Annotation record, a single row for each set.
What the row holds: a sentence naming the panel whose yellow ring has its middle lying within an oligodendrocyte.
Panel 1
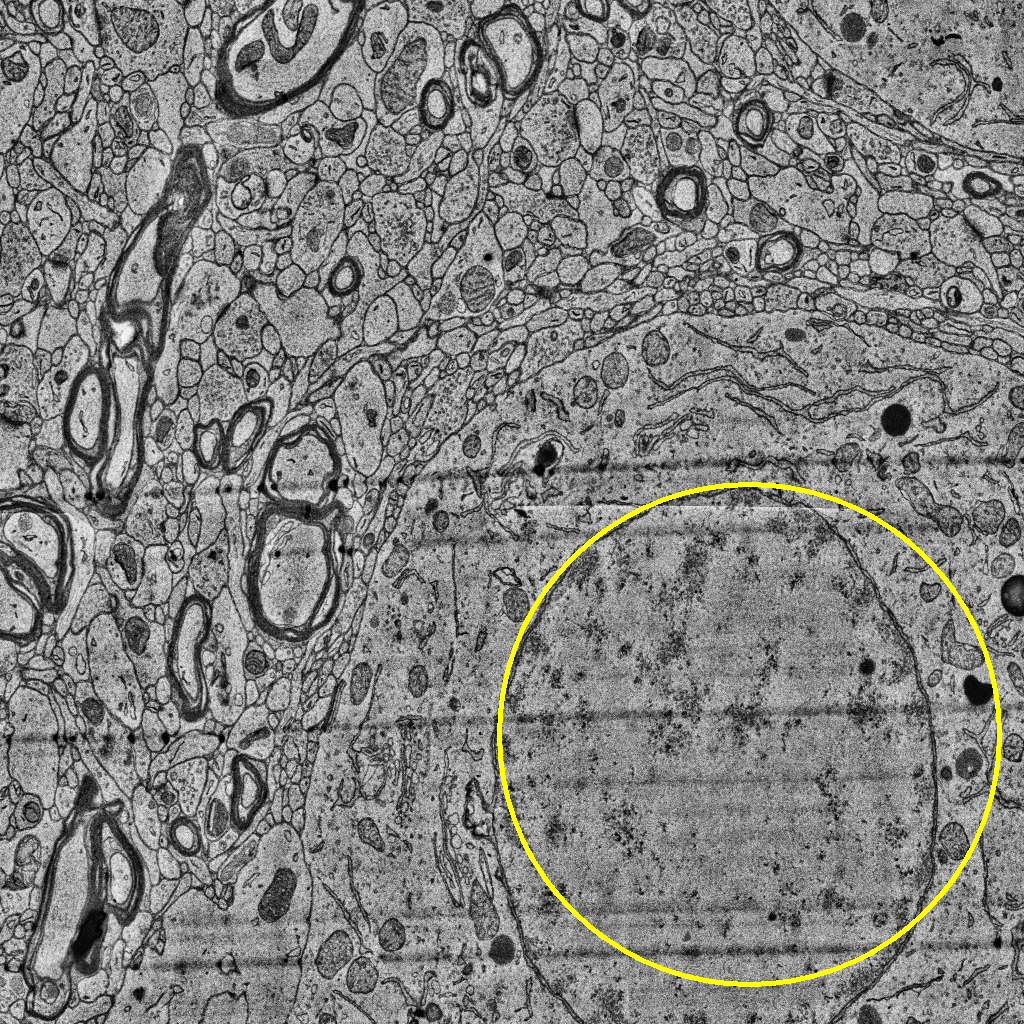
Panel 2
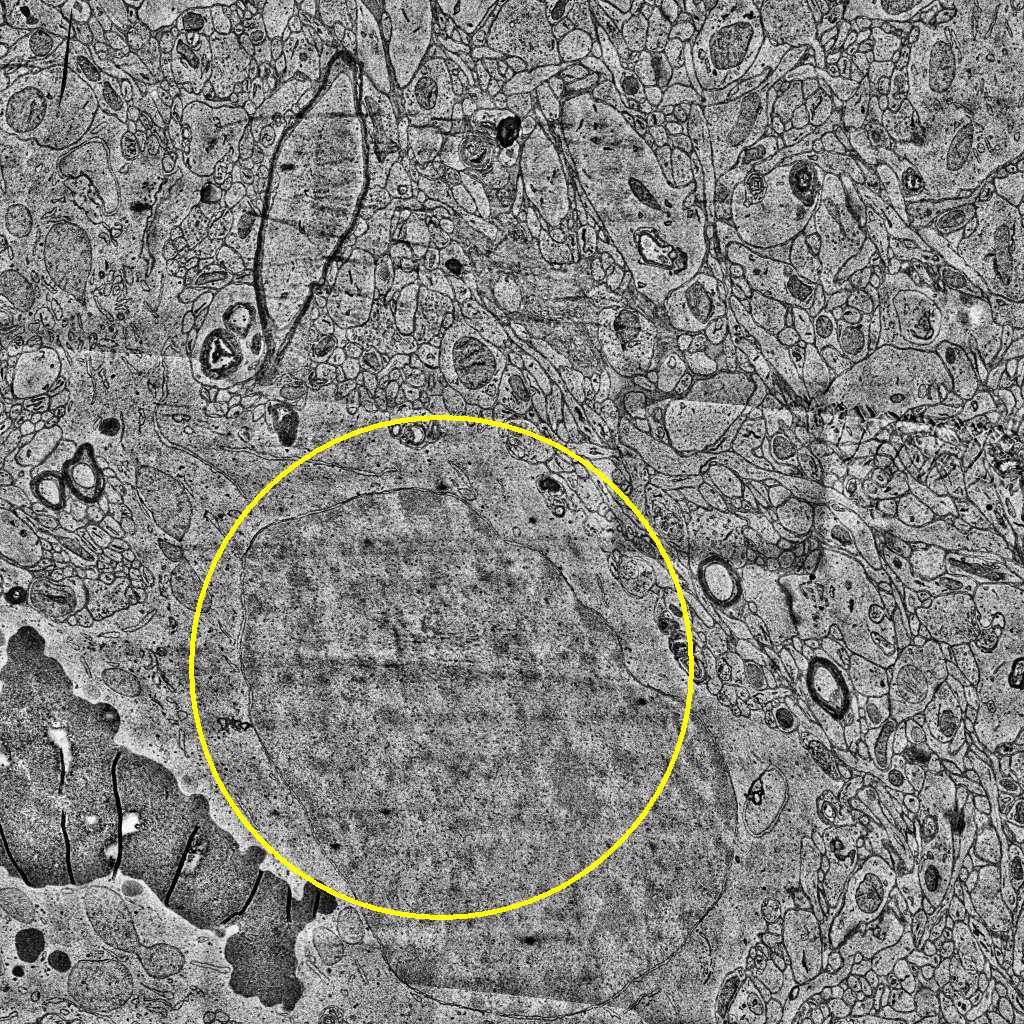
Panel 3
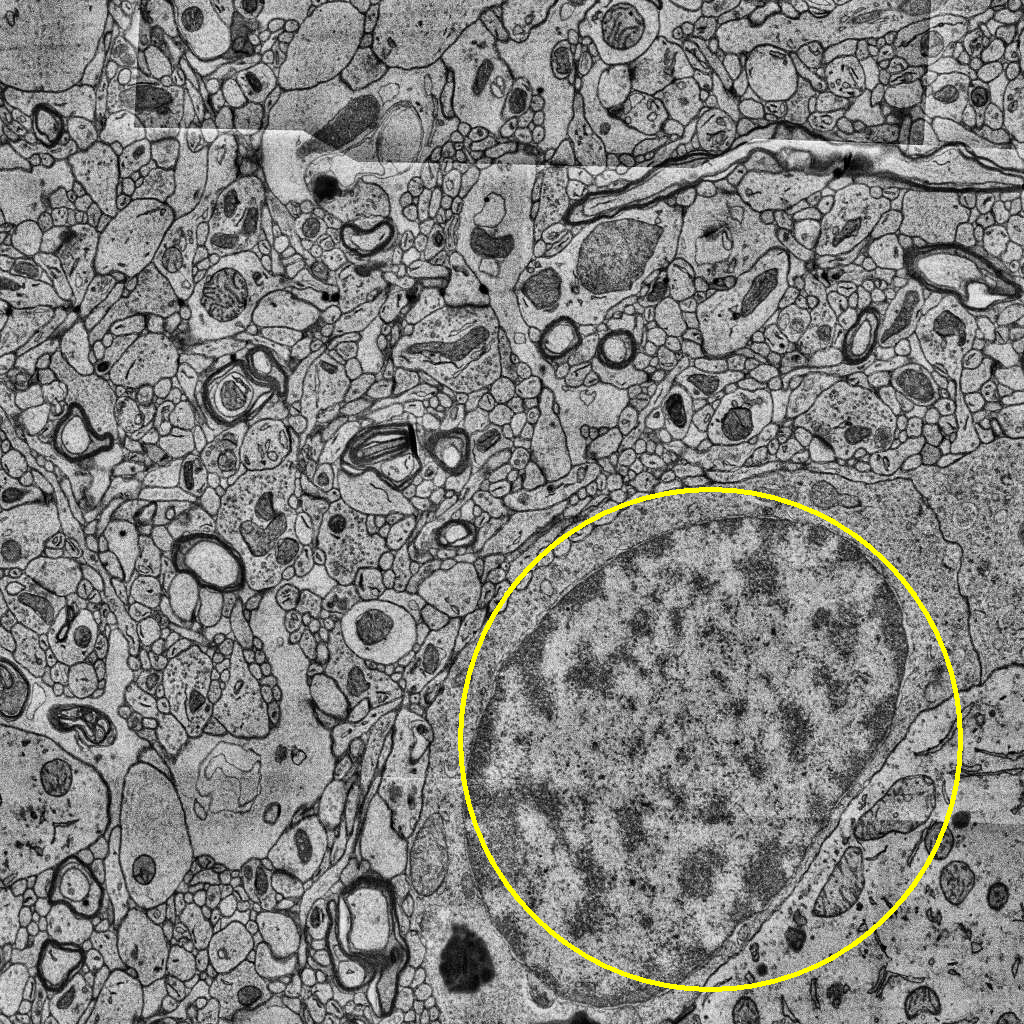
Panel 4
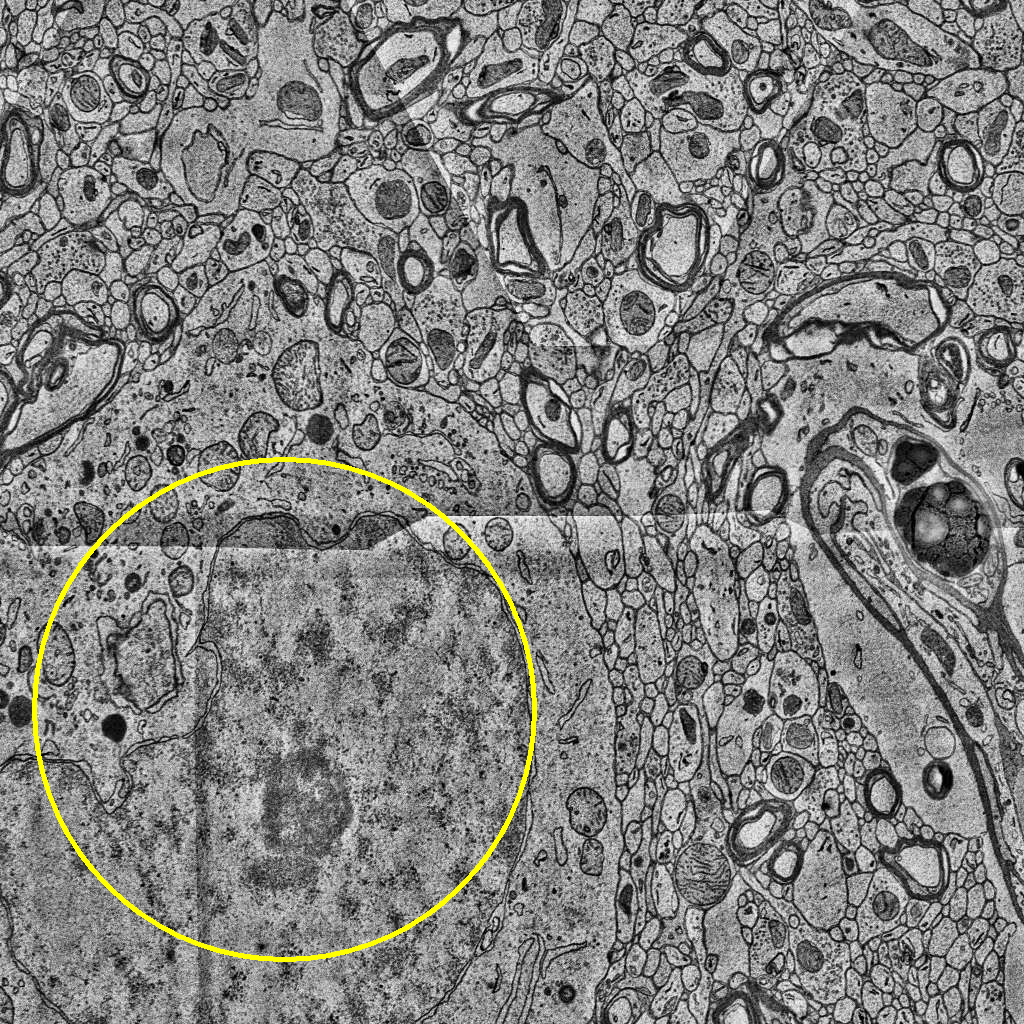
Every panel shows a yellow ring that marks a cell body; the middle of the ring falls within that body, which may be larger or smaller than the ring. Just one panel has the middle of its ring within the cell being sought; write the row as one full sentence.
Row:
In panel 3, the middle of the yellow ring lies within the cell that is sought.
